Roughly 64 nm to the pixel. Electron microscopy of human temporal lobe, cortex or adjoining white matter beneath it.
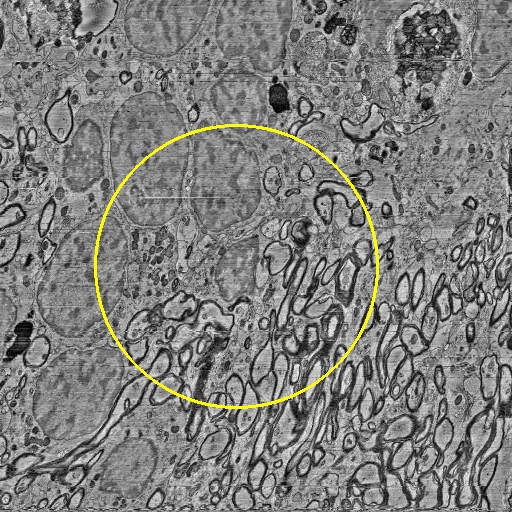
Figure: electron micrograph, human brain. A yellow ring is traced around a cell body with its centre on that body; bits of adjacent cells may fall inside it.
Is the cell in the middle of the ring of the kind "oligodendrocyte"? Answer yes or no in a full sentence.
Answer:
Yes, that kind applies to the cell centred within the yellow ring of the picture.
